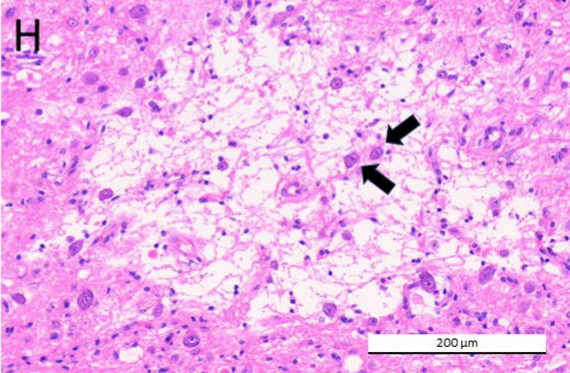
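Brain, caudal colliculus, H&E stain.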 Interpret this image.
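The middle of the field is pale and rarefied, reduced to a loose lacy web of thin pink strands around empty spaces. Despite this, large neurons remain scattered within and around the damaged zone: they have generous pink cytoplasm, round pale nuclei and conspicuous nucleoli. Small dark round nuclei of glial cells are dotted throughout. Toward the upper and lower edges the tissue becomes denser and more evenly pink, marking less affected surroundings.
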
